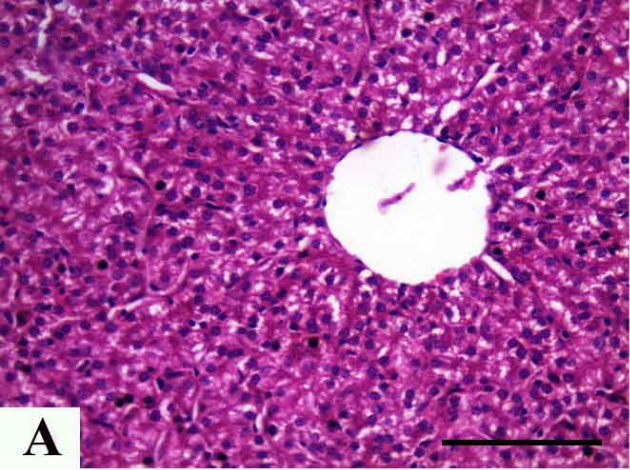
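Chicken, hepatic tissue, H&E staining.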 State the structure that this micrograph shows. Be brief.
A: Central vein.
